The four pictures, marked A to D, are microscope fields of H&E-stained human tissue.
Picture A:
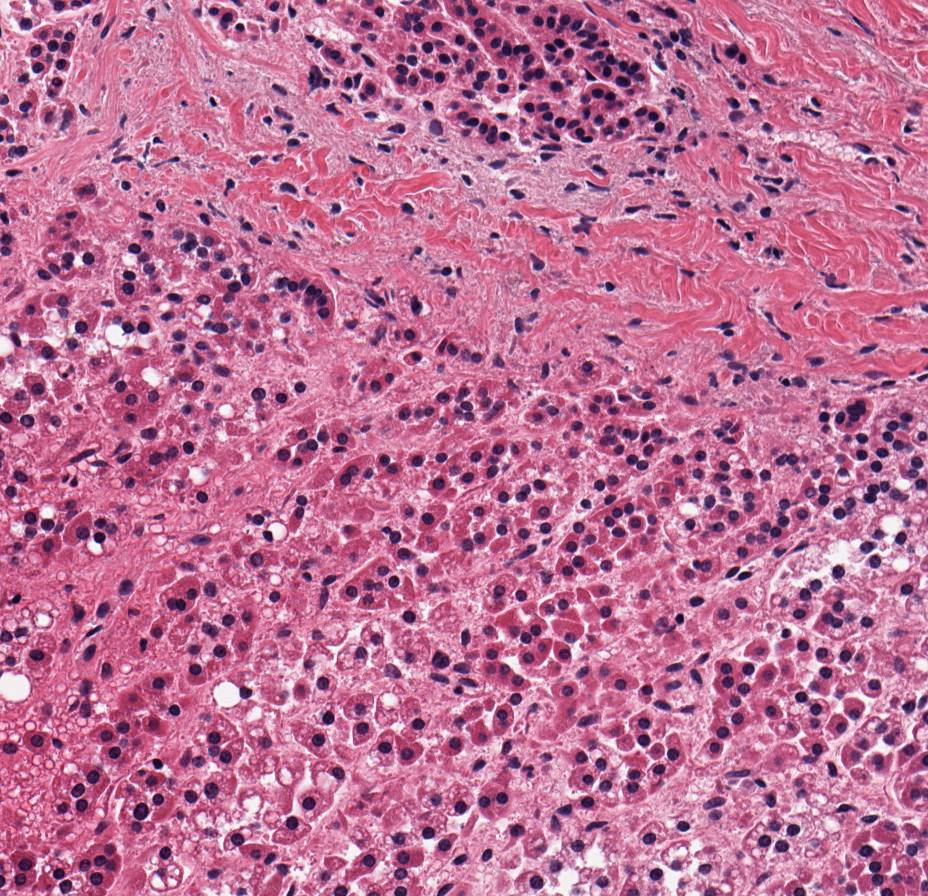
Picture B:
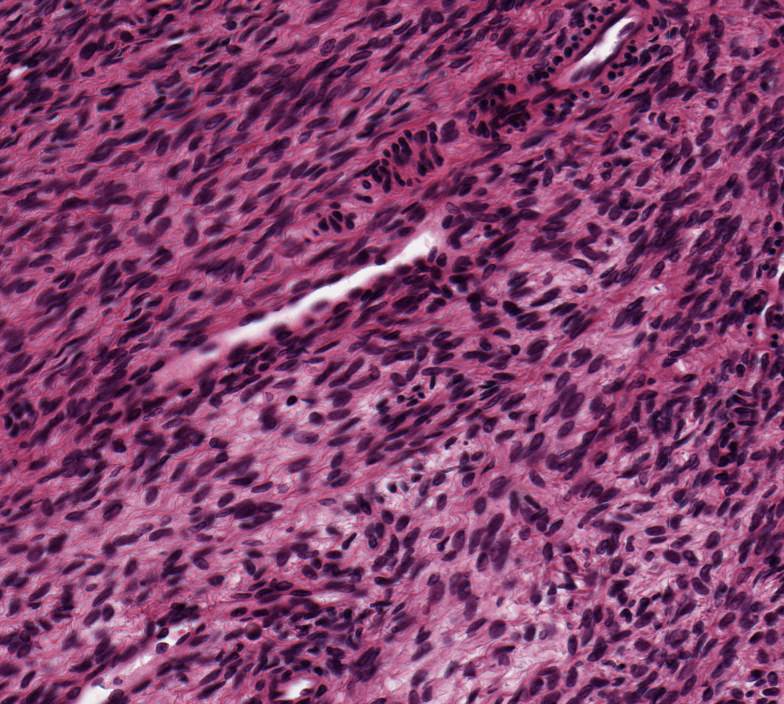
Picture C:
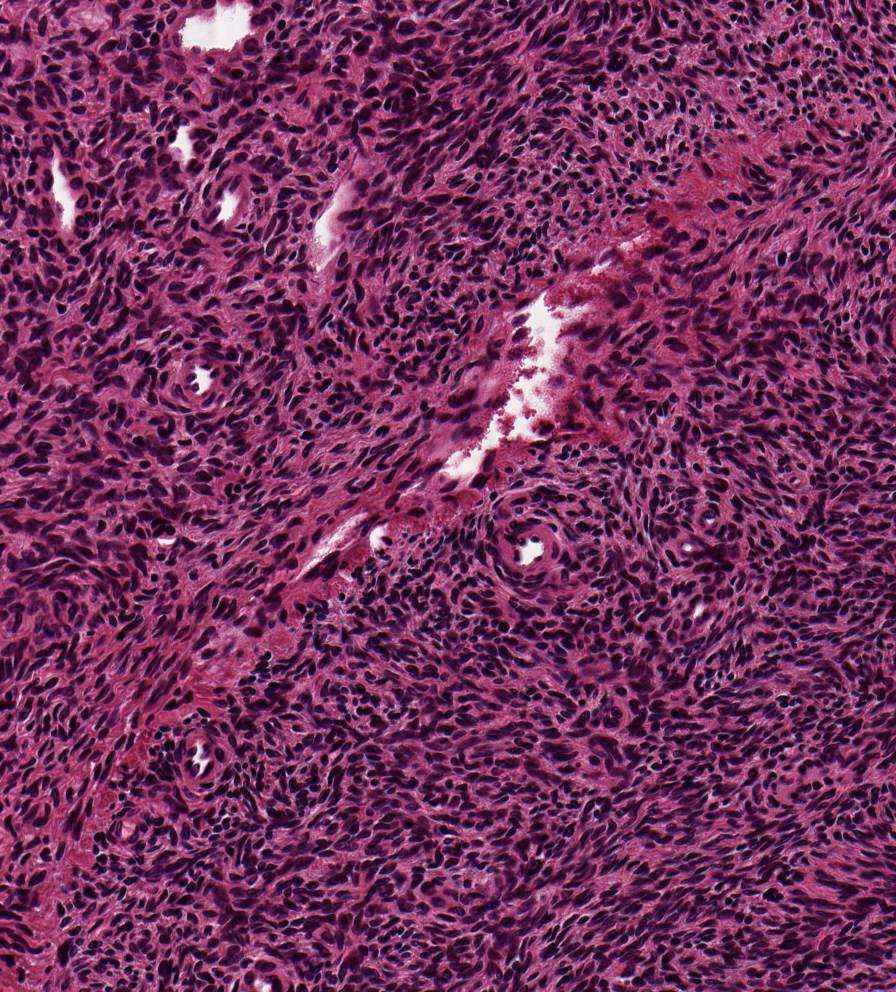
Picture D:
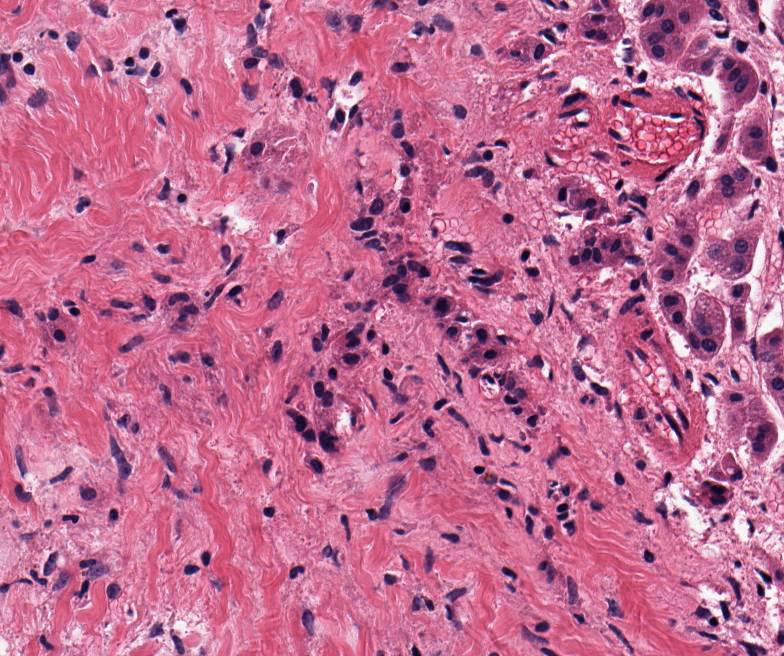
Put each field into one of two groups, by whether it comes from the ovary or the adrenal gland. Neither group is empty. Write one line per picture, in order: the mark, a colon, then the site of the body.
A: adrenal gland
B: ovary
C: ovary
D: adrenal gland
